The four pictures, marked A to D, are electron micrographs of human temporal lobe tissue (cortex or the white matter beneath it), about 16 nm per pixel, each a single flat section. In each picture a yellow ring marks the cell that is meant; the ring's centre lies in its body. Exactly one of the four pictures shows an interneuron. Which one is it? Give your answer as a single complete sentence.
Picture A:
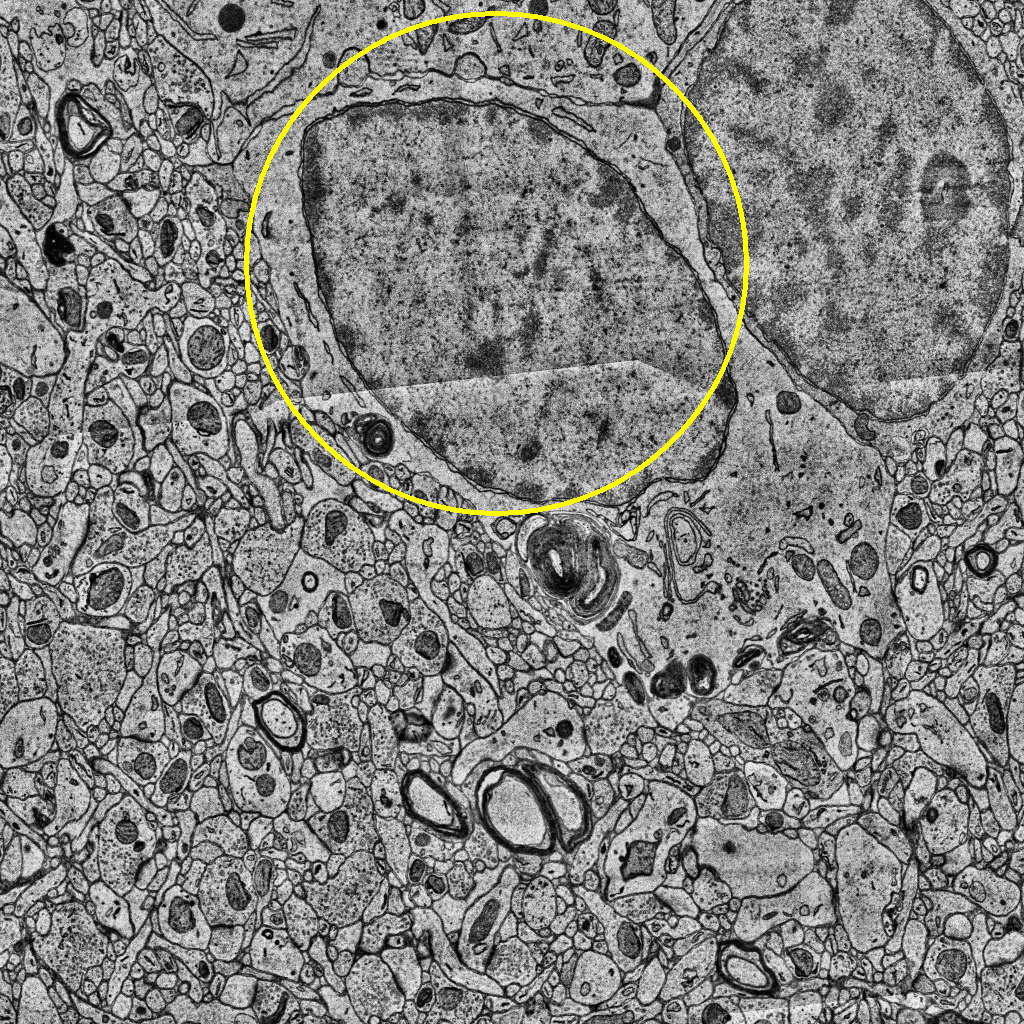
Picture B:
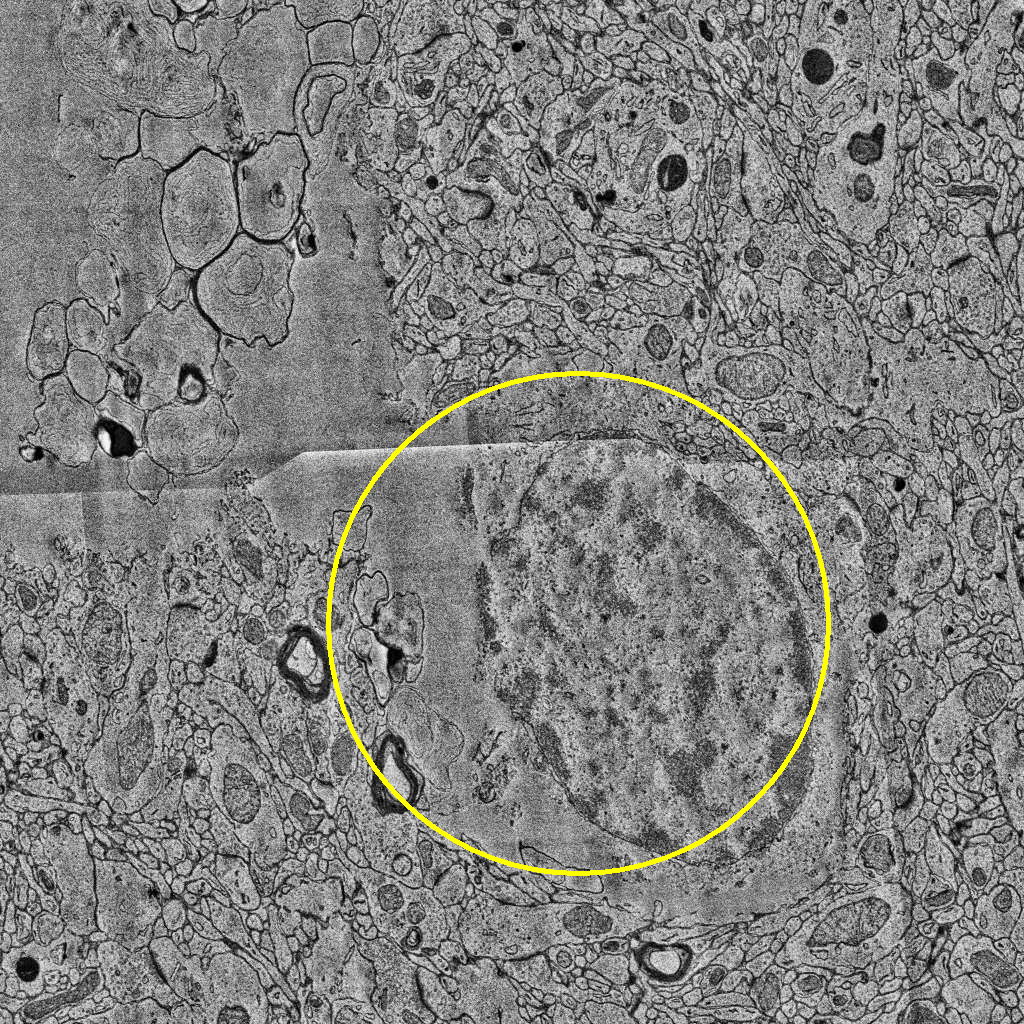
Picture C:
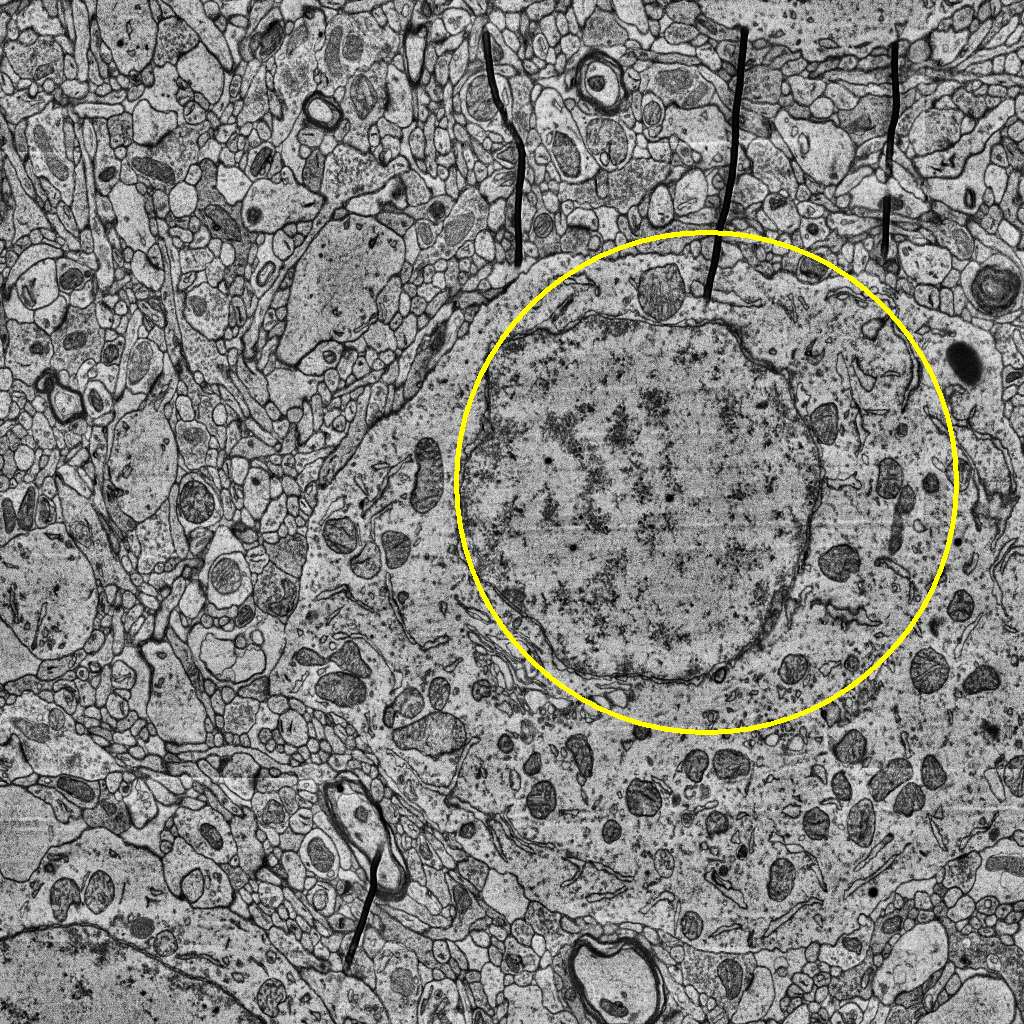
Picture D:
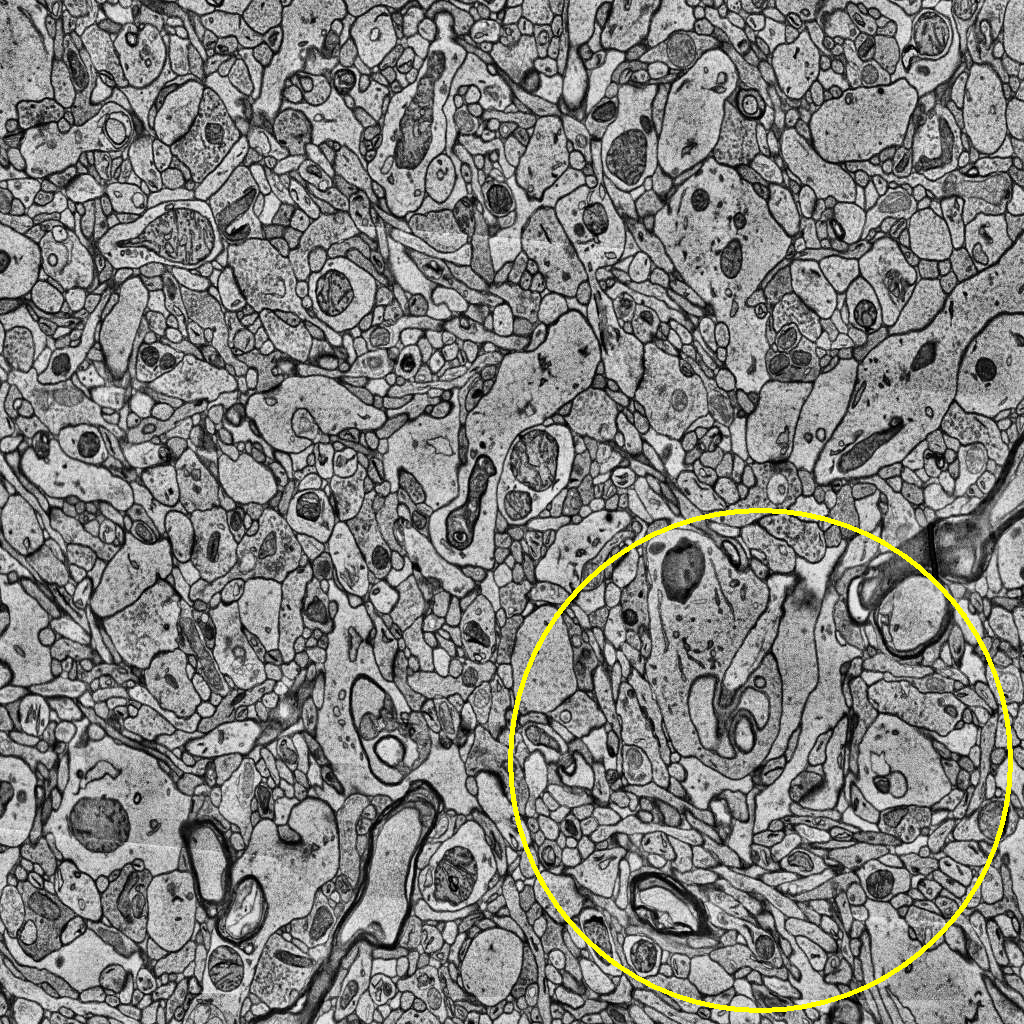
Picture C is the one that shows the interneuron.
